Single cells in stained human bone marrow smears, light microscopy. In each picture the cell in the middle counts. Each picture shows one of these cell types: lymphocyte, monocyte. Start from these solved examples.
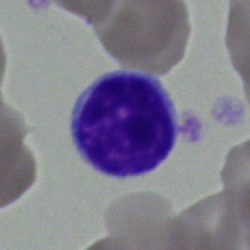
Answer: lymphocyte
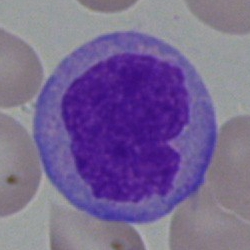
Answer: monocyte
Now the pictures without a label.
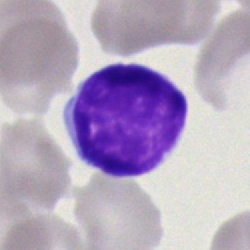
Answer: lymphocyte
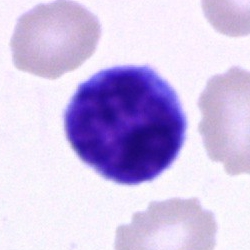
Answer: lymphocyte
